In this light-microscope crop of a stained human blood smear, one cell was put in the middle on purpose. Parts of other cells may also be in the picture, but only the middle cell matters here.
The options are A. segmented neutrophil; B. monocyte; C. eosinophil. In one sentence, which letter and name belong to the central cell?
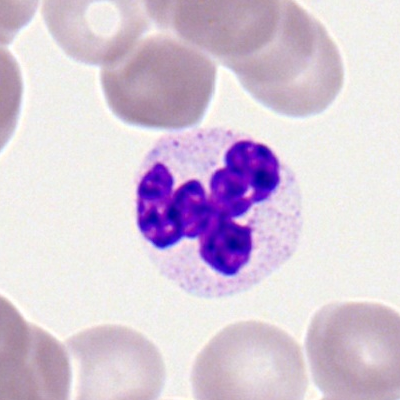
That the central cell is a segmented neutrophil makes option A correct.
